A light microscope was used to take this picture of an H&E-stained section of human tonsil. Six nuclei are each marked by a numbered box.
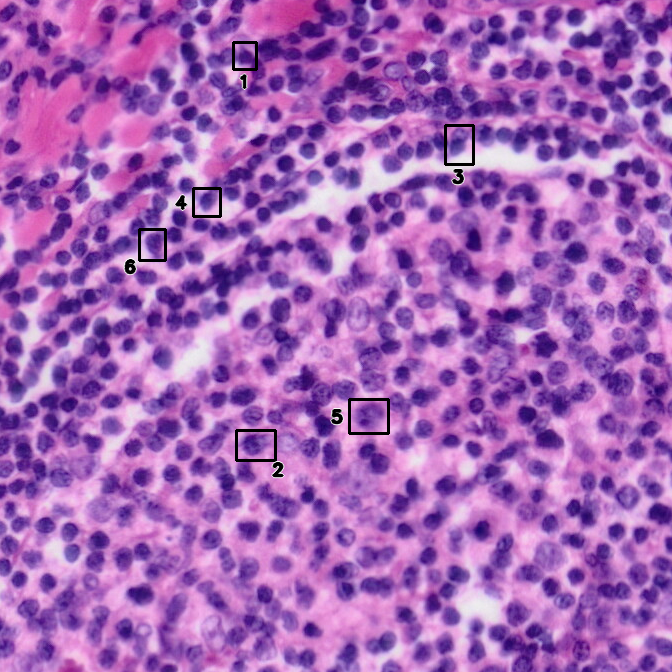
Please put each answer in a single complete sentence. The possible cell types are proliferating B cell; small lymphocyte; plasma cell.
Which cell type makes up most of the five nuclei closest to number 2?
Of the five nuclei nearest to number 2, most belong to proliferating B cells.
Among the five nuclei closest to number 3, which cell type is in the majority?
The majority of the five nuclei closest to number 3 belong to small lymphocytes.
